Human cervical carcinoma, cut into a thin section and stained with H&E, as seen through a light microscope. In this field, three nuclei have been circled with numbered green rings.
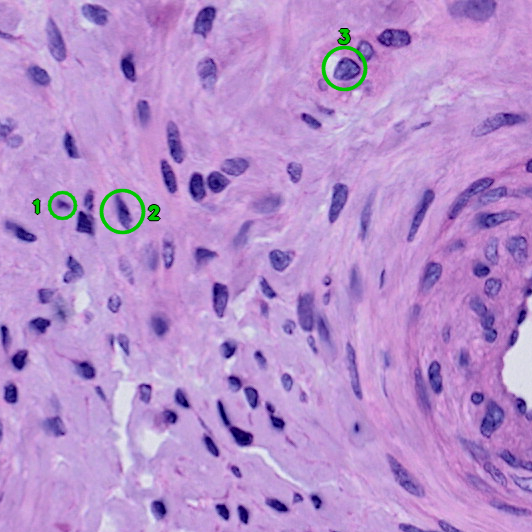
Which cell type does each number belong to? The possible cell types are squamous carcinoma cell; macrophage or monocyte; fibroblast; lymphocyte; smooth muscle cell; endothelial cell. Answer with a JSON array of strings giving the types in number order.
["fibroblast", "fibroblast", "endothelial cell"]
